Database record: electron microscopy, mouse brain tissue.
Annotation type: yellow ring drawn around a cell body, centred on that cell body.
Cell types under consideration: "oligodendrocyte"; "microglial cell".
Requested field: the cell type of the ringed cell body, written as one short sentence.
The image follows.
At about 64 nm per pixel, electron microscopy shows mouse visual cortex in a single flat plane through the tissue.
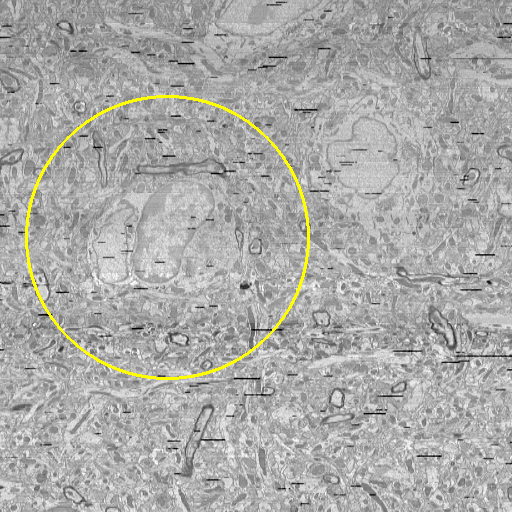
The ringed cell body represents an oligodendrocyte.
